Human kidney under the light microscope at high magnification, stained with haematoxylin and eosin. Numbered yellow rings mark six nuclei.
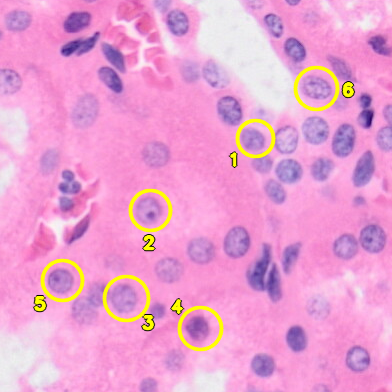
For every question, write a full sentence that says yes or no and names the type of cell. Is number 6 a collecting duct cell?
Yes, the cell tagged with number 6 is a collecting duct cell.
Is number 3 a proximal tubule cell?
Yes, kindly take note: the cell numbered 3 is a proximal tubule cell.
